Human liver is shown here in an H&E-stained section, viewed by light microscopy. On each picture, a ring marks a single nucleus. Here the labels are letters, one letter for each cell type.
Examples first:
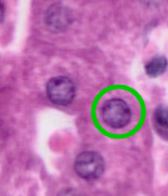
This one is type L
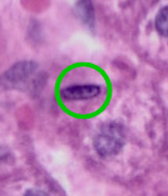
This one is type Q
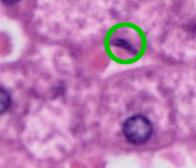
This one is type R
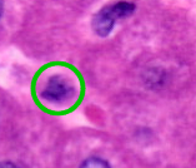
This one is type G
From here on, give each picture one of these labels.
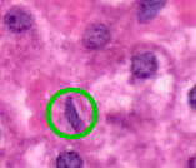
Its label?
type Q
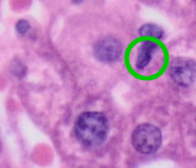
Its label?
type Q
